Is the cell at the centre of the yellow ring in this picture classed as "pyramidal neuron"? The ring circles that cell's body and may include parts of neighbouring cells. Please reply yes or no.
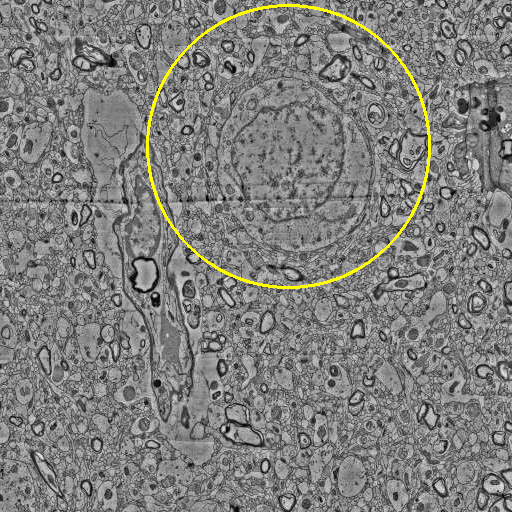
Yes, it is of that kind.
